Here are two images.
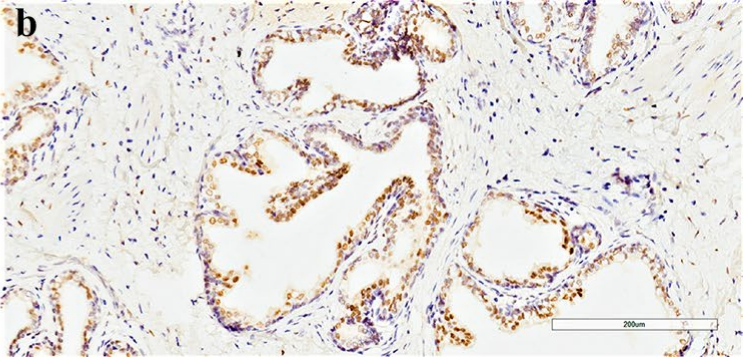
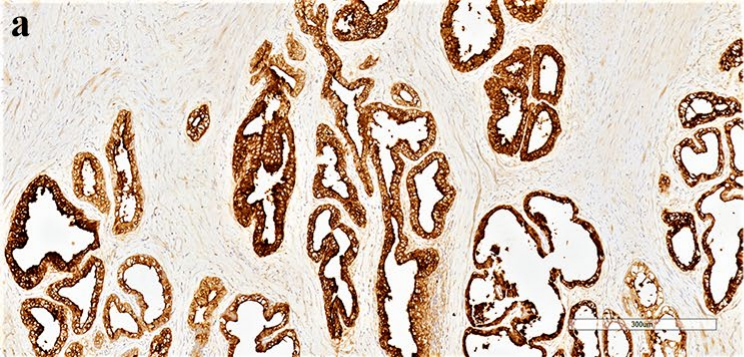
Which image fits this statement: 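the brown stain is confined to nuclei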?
The first image.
